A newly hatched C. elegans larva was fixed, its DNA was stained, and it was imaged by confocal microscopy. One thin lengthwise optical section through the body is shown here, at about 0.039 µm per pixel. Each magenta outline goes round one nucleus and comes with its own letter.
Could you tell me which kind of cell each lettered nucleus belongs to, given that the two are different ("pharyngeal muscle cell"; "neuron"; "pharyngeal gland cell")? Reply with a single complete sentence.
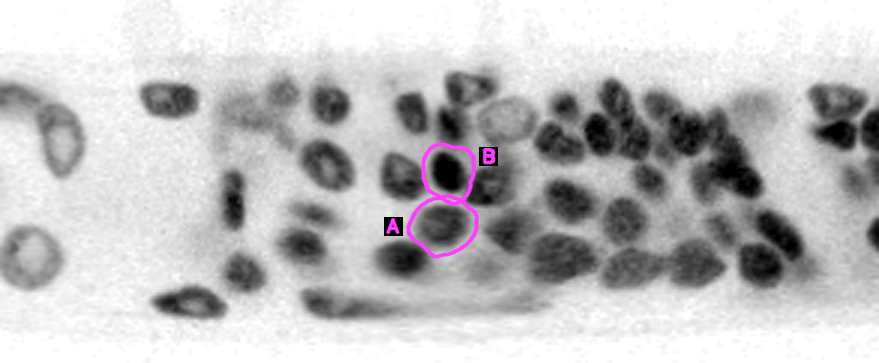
Nucleus A comes from a pharyngeal gland cell and nucleus B from a neuron.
